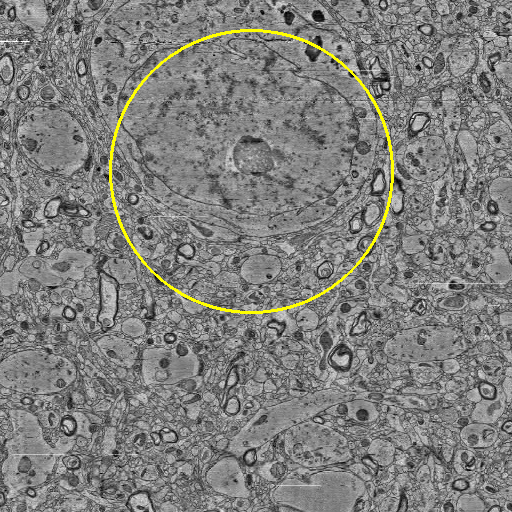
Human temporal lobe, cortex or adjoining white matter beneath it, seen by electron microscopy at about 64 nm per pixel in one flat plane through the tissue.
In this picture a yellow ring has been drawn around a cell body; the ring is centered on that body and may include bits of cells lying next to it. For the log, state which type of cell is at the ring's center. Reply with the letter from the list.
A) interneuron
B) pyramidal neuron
B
